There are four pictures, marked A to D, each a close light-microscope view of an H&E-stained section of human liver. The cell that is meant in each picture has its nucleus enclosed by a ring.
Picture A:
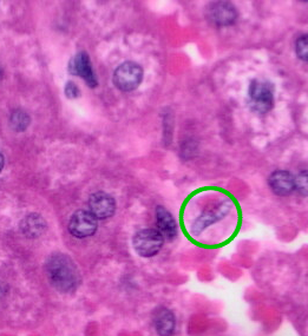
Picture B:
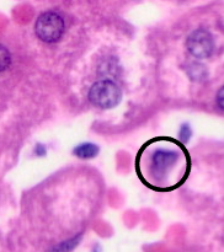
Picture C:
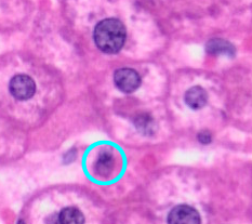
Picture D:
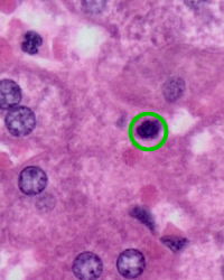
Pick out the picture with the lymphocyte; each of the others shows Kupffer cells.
D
